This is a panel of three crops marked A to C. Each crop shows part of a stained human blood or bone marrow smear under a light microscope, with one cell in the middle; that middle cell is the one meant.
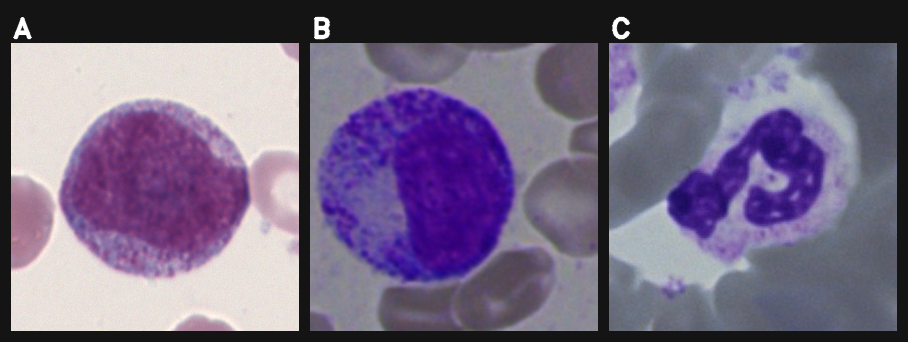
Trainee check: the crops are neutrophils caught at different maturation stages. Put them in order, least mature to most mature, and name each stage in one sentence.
So the order, from least to most mature, is crop A (a promyelocyte), crop B (a myelocyte) and crop C (a segmented neutrophil).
